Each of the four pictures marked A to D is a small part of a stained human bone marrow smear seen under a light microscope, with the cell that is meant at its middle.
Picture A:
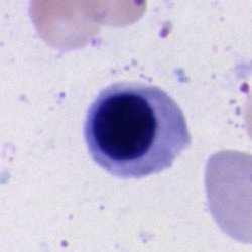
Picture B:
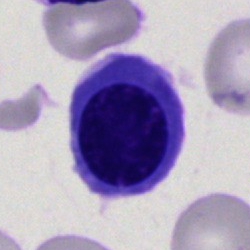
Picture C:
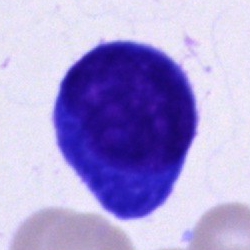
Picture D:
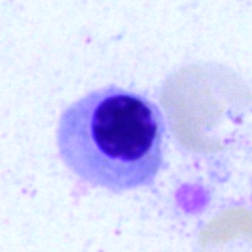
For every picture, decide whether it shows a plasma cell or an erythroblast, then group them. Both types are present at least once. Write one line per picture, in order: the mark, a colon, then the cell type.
A: erythroblast
B: erythroblast
C: plasma cell
D: erythroblast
